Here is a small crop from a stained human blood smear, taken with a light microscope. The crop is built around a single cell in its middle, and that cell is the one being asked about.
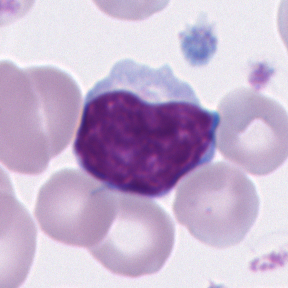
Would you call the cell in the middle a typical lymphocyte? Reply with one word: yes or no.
yes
